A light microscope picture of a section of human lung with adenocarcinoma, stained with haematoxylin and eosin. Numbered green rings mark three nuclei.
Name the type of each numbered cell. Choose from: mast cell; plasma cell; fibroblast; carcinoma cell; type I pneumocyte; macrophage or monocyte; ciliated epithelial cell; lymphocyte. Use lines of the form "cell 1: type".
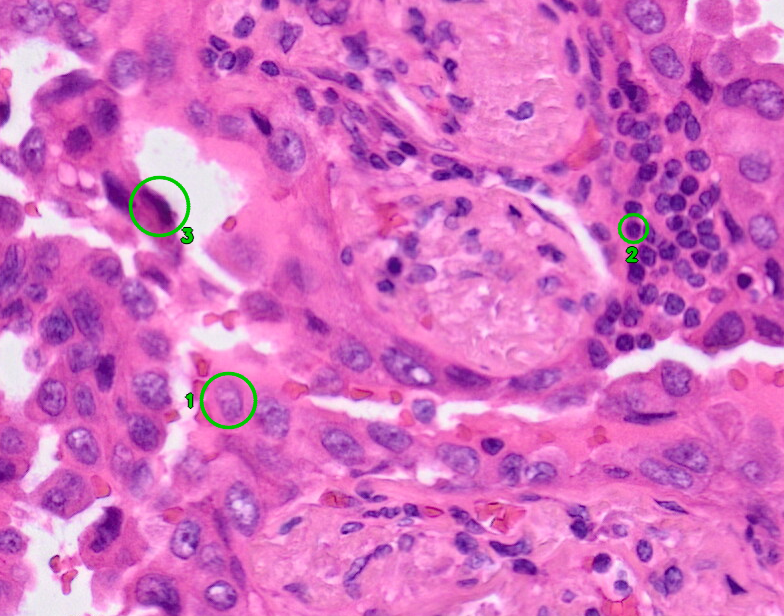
cell 1: carcinoma cell
cell 2: lymphocyte
cell 3: carcinoma cell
